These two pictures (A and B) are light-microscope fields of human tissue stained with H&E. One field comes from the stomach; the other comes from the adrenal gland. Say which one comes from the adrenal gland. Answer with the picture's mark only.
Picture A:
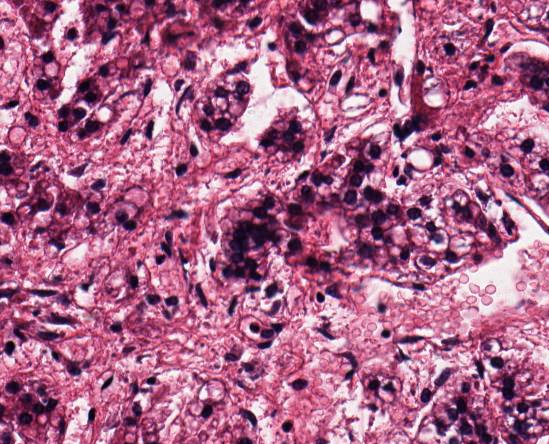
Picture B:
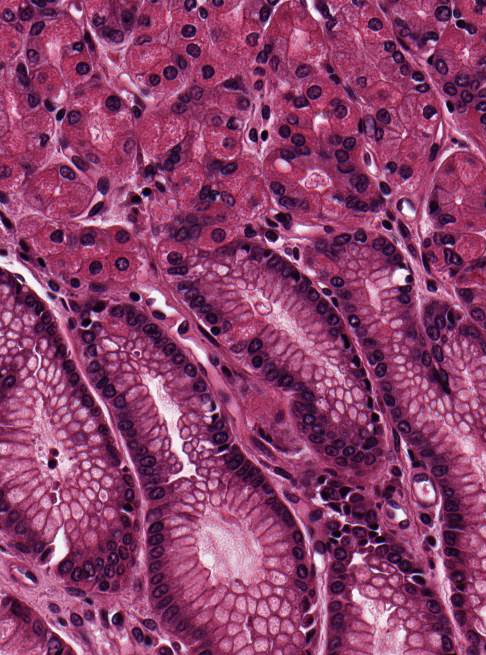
A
